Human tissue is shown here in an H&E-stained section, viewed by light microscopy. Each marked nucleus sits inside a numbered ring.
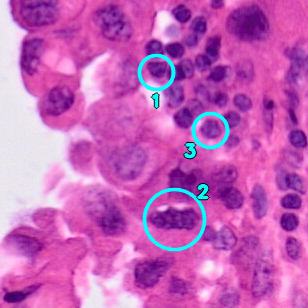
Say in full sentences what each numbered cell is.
Cell 1 is a lymphocyte, cell 2 is a carcinoma cell and cell 3 is a lymphocyte.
